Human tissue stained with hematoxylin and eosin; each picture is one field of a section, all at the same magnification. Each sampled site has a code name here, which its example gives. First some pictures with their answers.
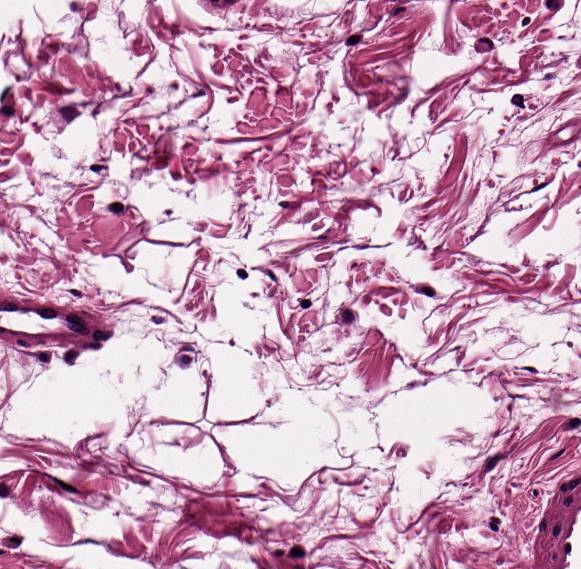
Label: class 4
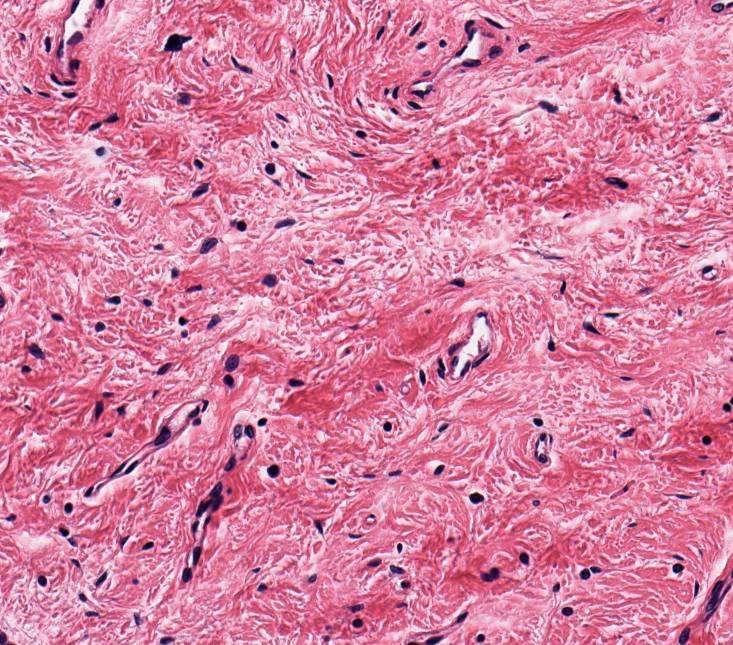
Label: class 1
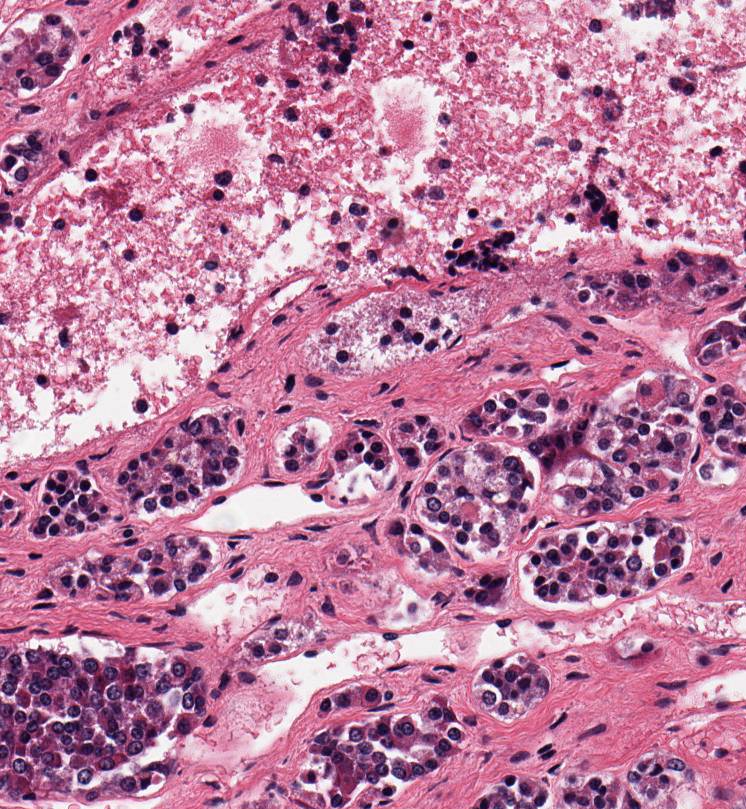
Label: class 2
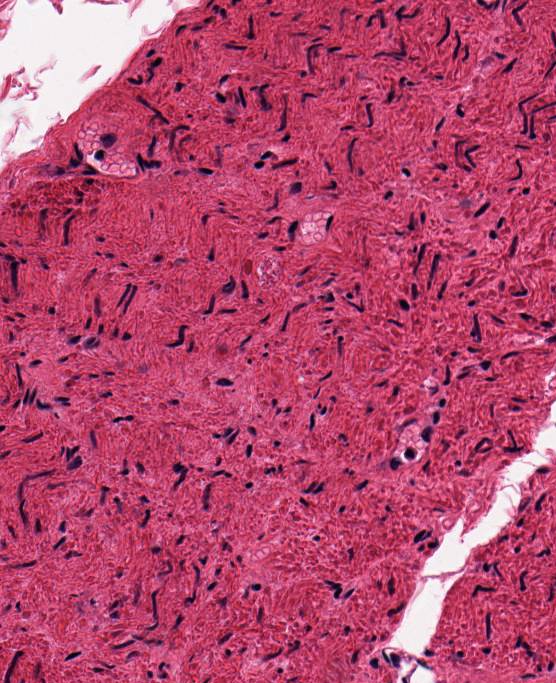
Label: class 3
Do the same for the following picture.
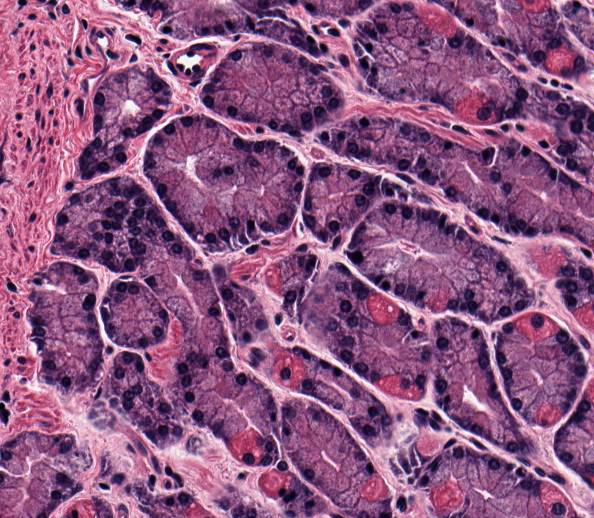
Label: class 4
